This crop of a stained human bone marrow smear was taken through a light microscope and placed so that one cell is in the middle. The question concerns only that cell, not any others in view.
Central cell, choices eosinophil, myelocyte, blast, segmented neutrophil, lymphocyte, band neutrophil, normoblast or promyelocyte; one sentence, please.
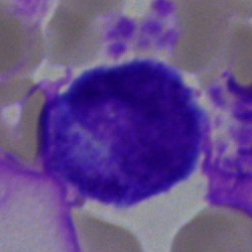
The middle position in this crop is taken by a promyelocyte.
